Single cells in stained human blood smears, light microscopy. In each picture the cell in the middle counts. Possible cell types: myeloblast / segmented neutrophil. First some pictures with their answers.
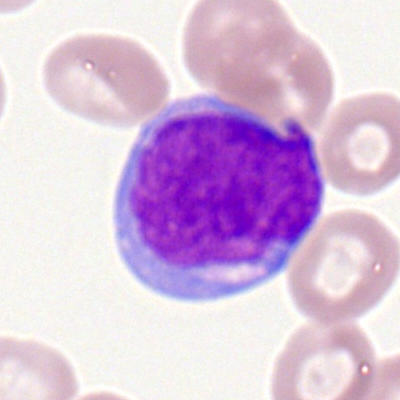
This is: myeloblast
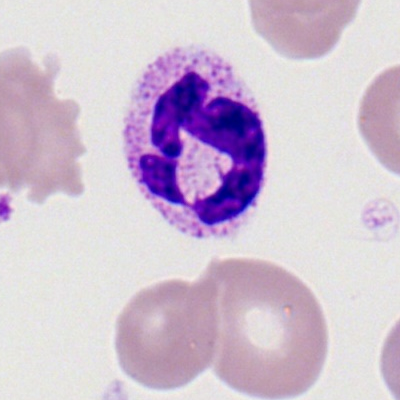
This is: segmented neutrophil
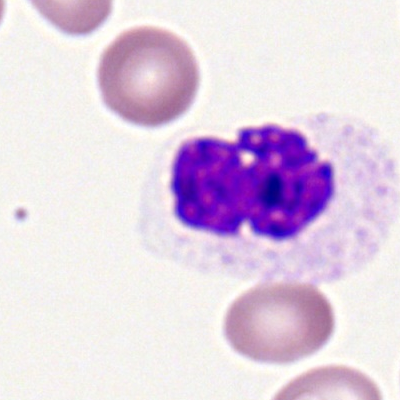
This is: segmented neutrophil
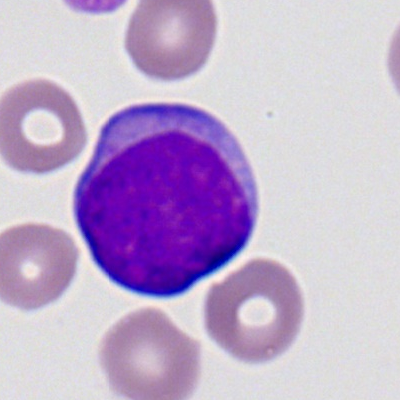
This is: myeloblast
